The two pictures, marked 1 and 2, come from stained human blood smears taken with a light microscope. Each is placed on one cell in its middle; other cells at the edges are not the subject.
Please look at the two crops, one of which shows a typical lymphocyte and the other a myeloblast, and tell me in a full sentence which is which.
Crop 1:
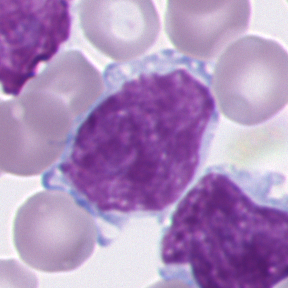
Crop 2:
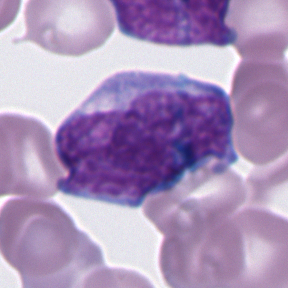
Displayed in crop 1 is a typical lymphocyte, while crop 2 displays a myeloblast.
